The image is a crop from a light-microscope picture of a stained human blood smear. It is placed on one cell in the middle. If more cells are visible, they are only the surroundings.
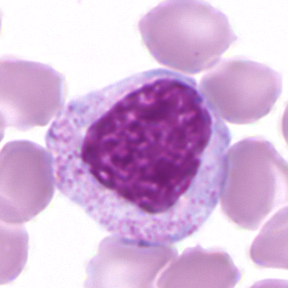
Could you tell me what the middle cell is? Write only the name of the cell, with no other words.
metamyelocyte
